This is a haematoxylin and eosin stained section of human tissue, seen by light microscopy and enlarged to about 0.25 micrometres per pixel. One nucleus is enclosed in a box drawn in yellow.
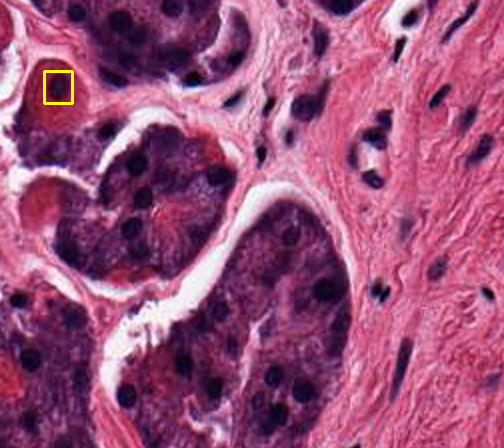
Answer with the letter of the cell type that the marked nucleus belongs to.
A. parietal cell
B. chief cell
A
